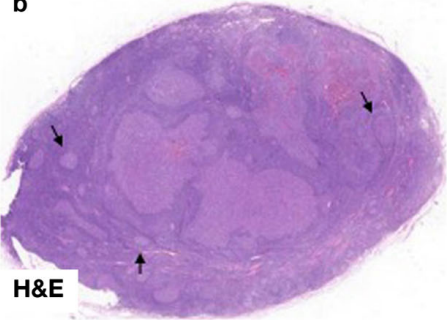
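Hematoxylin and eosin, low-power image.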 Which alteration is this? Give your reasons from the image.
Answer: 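A large central nodular mass of pale follicles sits inside the node. A rim of darker nodal tissue surrounds the central mass beneath the capsule.
Hence: “a node within a node” appearance.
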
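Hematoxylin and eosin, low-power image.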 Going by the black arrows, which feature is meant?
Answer: Small reactive follicles.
